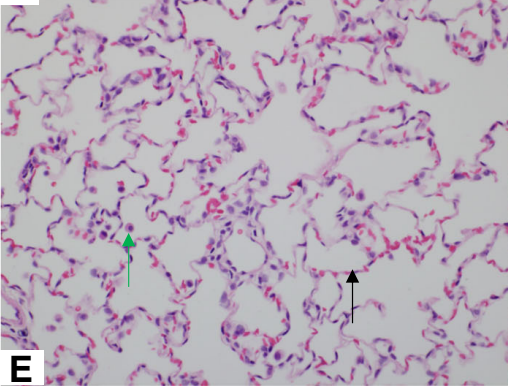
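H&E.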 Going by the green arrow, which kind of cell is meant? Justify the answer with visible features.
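Macrophages. A single rounded cell lies free in an alveolar space. Its nucleus is round with surrounding cytoplasm, apart from the thin septa.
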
